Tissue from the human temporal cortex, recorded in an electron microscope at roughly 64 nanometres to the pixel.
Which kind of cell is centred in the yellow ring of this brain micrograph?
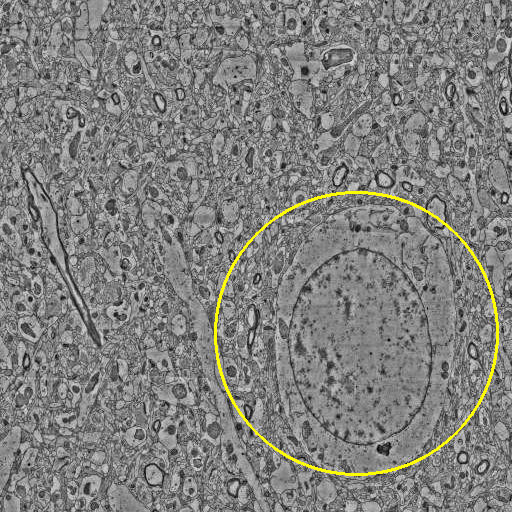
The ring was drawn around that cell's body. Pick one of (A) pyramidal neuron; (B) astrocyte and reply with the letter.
A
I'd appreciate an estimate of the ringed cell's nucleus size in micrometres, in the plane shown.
The nucleus is approximately 13 micrometers long by 9 micrometers wide in this plane.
